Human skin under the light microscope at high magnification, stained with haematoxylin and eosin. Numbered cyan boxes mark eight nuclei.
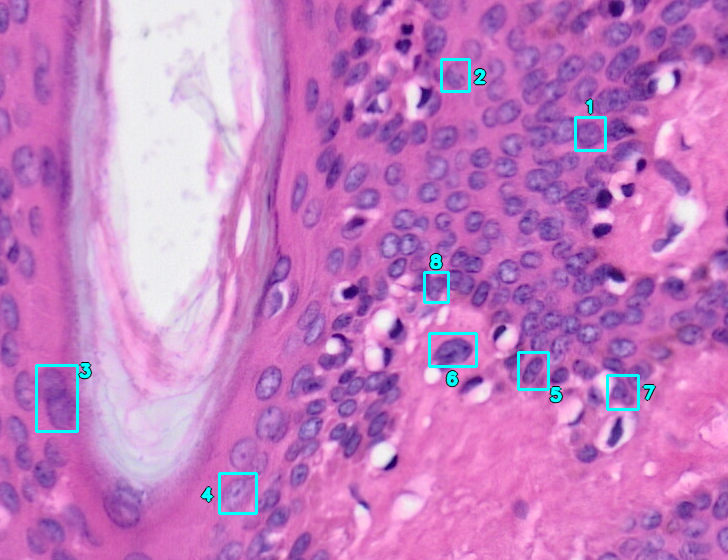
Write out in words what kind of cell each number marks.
Cells 1, 5, 7 and 8 are basal keratinocytes. Cells 2, 3 and 4 are suprabasal keratinocytes. Cell 6 is a fibroblast.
